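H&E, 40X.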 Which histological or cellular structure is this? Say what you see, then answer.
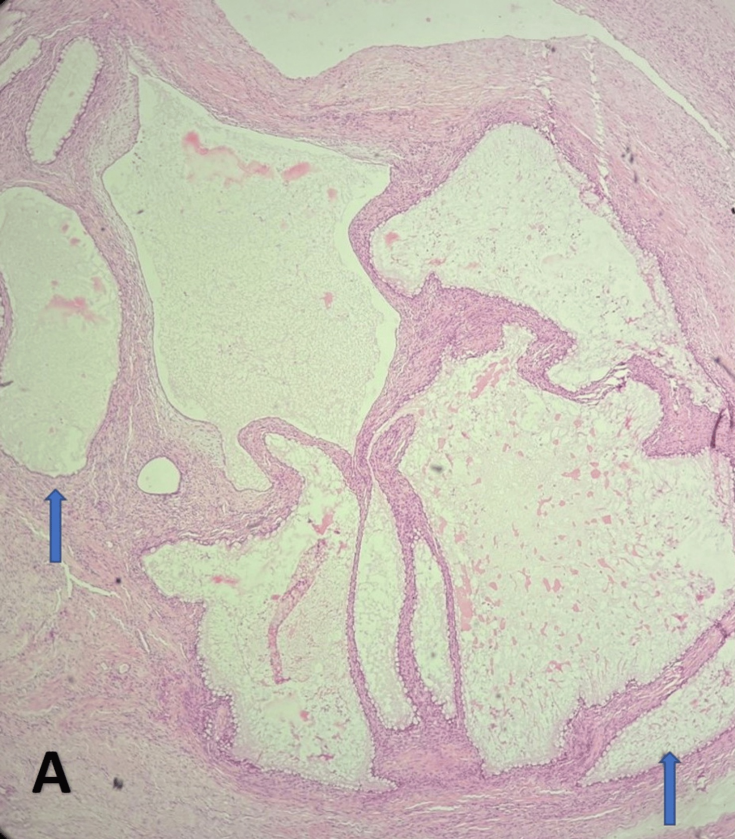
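Multiloculated cyst. Many cystic spaces of varying size are separated by thin septa. The spaces contain pale pink material.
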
